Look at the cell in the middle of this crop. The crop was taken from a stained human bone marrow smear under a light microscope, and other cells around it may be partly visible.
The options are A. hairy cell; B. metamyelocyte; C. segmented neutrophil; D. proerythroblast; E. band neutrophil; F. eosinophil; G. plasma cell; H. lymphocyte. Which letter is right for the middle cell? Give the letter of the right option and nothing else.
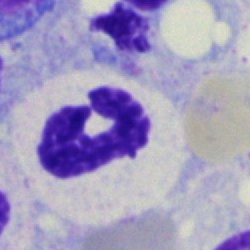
C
